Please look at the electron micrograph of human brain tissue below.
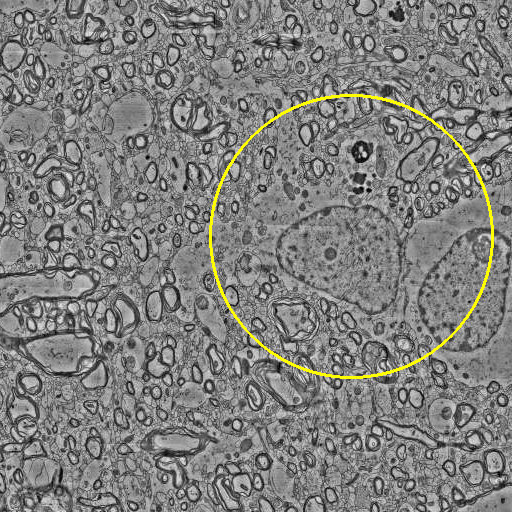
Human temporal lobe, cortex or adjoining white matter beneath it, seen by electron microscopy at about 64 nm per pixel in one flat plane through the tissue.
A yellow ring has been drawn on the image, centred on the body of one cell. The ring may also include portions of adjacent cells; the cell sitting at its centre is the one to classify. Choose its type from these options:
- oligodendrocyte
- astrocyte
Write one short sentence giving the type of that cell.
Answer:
The cell in the middle of the ring is an astrocyte.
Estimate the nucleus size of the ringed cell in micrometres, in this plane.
About 8 by 6 micrometres in this plane.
